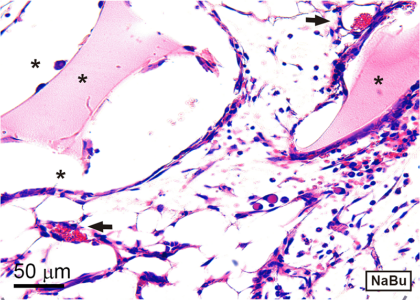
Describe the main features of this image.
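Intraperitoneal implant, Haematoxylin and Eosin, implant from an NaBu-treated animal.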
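Loose tissue with large clear spaces separated by thin strands of flattened cells lying between pale pink acellular matrix fragments. Few small vessels are seen, their lumens filled with red blood cells.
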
